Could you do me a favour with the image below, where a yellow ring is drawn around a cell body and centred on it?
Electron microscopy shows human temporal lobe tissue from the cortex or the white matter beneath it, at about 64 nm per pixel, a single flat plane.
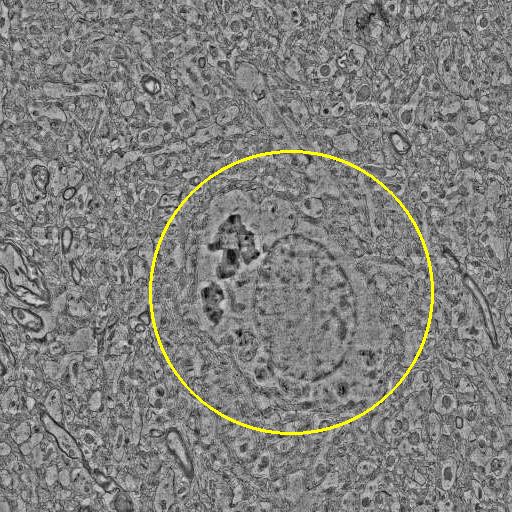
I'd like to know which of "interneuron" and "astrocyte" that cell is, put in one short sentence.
The cell at the ring's centre is an astrocyte.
